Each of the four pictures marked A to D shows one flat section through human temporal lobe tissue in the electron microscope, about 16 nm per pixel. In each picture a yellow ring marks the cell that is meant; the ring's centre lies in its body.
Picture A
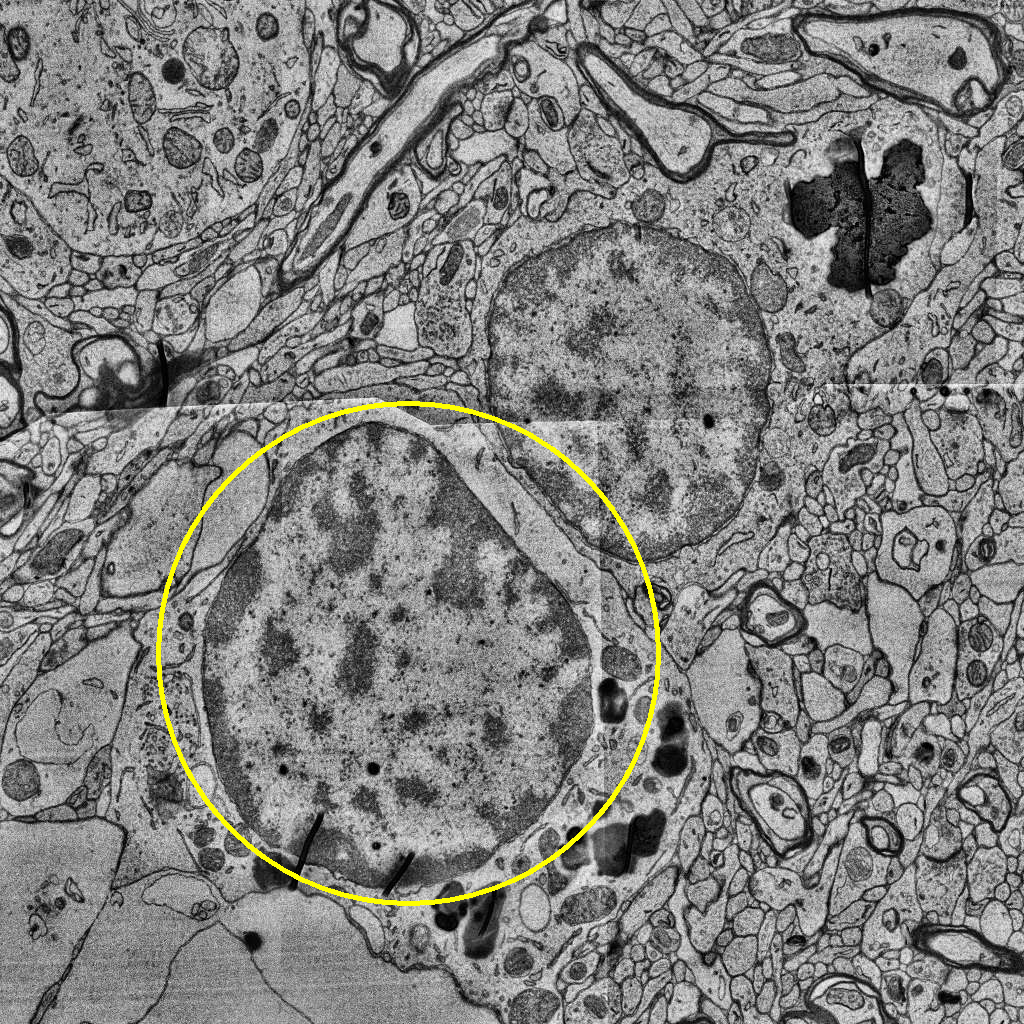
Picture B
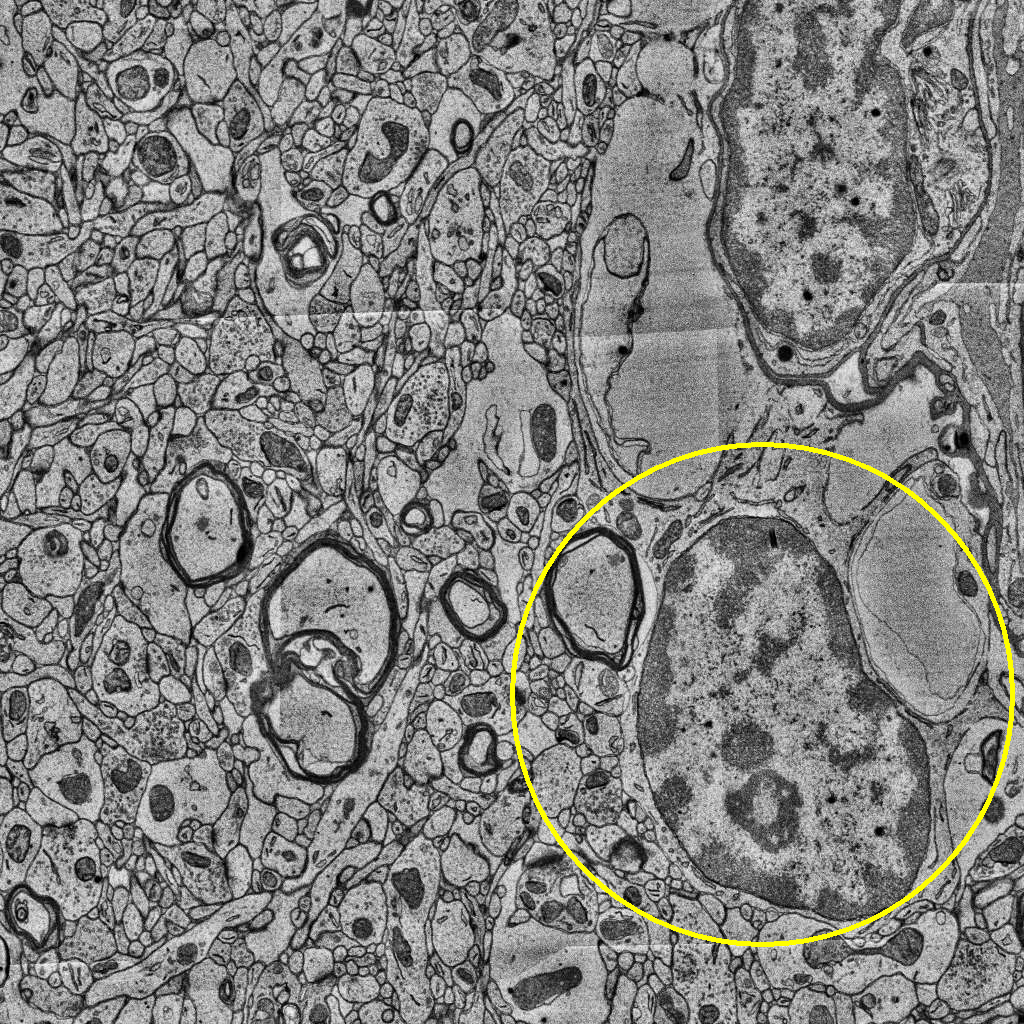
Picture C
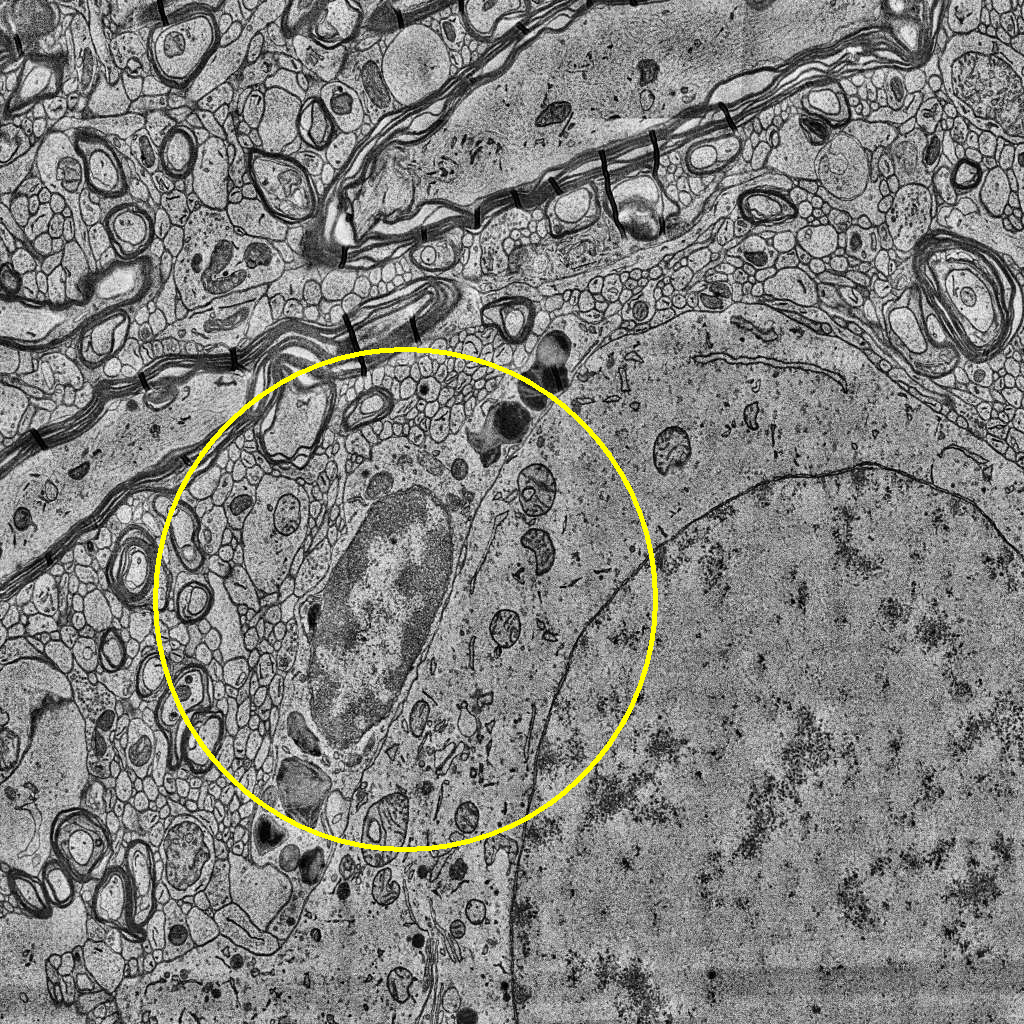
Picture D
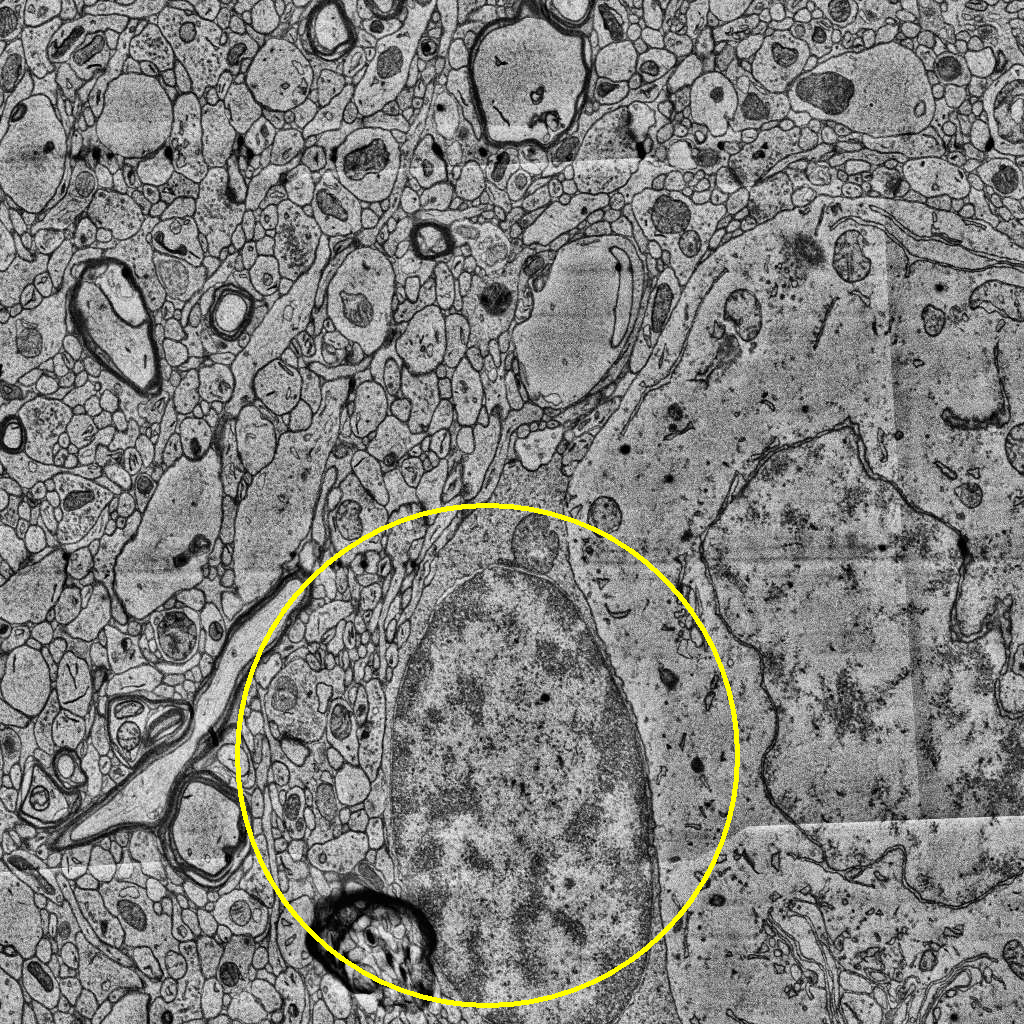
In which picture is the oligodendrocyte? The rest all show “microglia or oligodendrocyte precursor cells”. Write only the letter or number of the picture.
D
